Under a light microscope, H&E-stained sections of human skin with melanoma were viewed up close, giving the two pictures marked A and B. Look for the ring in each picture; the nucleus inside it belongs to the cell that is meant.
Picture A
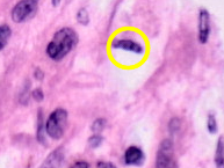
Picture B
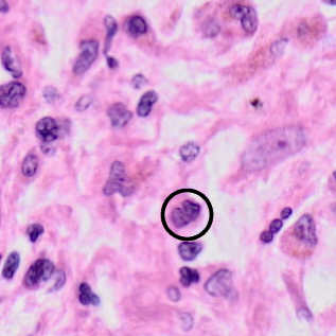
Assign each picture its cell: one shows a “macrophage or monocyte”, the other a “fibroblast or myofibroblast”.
A: fibroblast or myofibroblast
B: macrophage or monocyte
